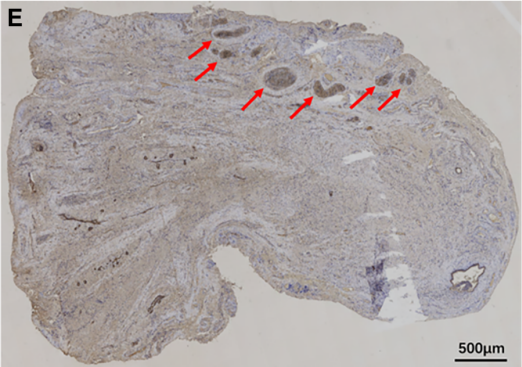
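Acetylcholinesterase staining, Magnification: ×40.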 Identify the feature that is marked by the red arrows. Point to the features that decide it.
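Plexuses. The arrows point to rounded dark brown bundles. The bundles form a row near the upper edge of the tissue.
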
